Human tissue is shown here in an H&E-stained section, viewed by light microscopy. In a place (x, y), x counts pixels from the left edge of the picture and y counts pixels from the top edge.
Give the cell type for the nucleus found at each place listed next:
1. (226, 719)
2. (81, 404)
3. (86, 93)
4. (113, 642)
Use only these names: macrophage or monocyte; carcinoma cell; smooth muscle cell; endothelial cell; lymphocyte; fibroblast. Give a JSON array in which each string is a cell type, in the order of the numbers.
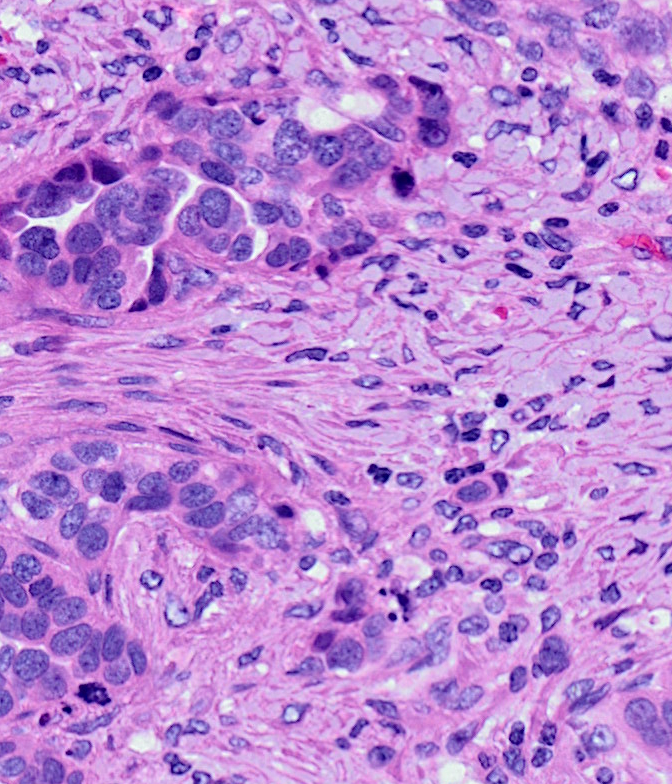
["fibroblast", "fibroblast", "fibroblast", "carcinoma cell"]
